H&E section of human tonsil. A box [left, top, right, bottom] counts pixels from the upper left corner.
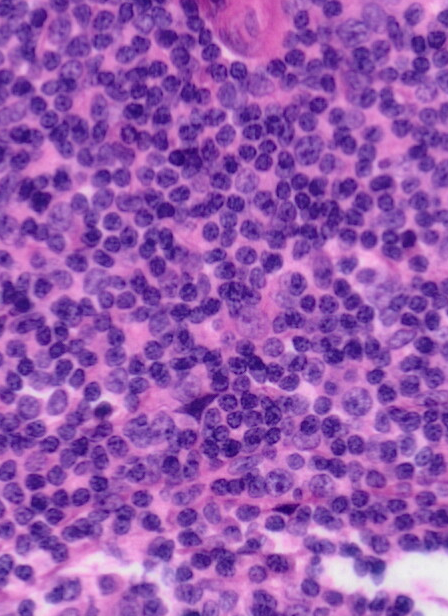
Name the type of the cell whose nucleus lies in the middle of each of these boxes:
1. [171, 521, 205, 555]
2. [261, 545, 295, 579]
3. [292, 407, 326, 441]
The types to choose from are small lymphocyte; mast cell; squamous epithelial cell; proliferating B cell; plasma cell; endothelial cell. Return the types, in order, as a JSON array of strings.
["small lymphocyte", "plasma cell", "small lymphocyte"]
